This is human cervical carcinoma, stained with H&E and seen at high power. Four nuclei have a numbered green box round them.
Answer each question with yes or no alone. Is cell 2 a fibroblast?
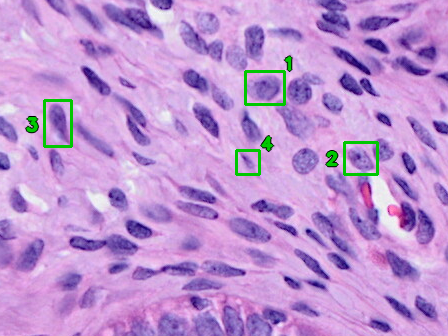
no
